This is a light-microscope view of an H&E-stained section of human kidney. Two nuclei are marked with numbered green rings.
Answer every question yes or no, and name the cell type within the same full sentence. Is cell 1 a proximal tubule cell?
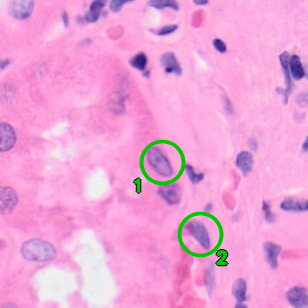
Yes, the cell shown as number 1 is a proximal tubule cell.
